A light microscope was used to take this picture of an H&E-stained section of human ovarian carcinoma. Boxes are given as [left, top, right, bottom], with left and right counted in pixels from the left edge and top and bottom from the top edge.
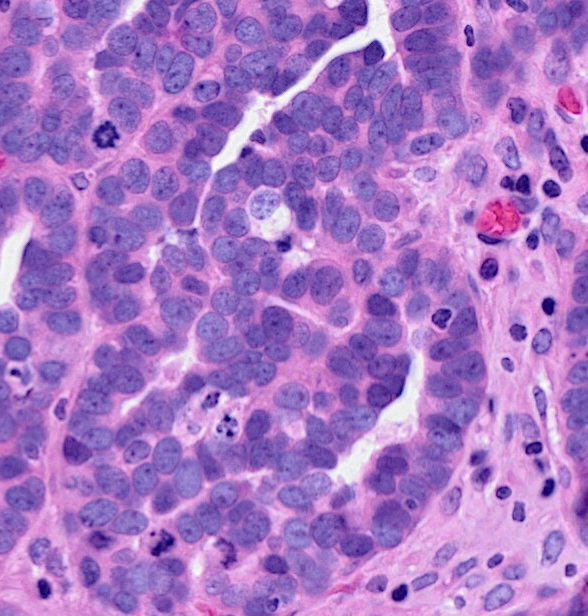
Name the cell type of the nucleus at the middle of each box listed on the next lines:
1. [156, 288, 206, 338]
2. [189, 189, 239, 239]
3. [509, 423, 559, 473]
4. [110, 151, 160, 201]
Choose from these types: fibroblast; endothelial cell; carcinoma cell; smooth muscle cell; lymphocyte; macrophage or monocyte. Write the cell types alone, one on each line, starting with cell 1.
carcinoma cell
carcinoma cell
lymphocyte
carcinoma cell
